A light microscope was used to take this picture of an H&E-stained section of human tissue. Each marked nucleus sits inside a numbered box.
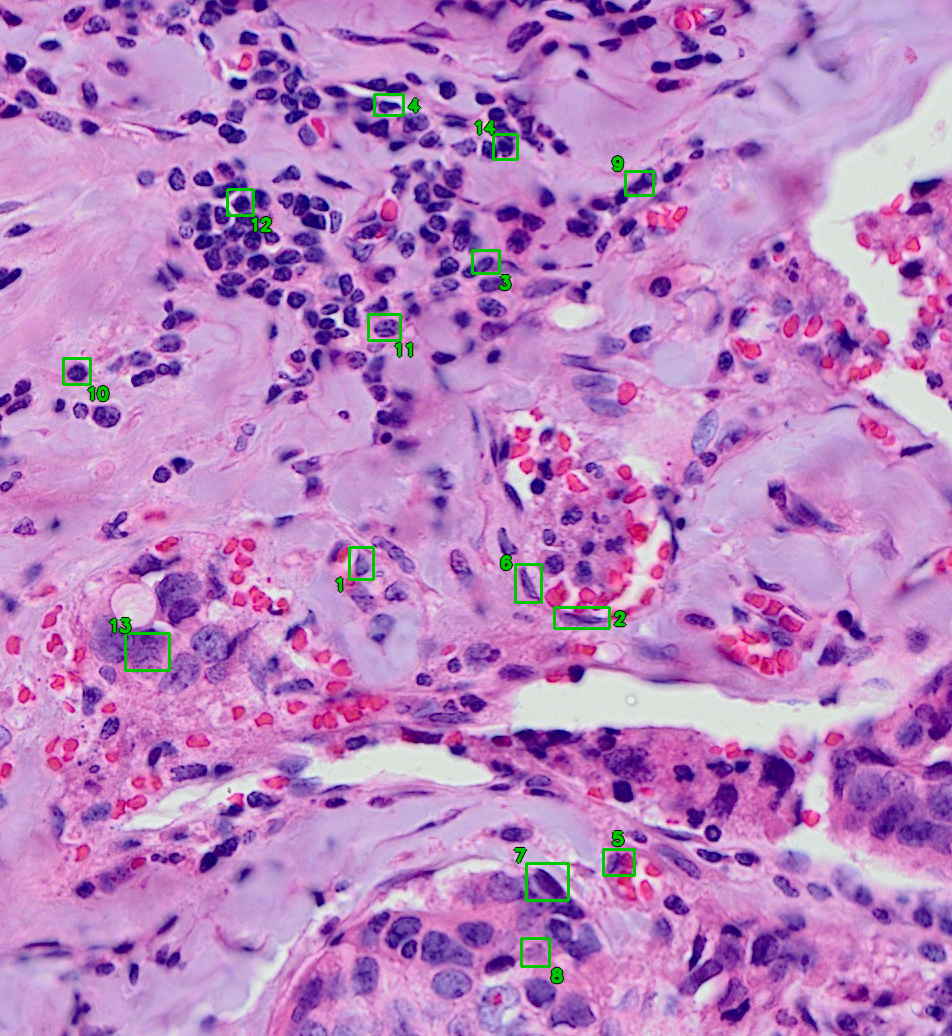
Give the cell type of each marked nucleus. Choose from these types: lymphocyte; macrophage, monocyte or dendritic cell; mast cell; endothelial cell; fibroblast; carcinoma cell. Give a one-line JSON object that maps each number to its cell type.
{"1": "endothelial cell", "2": "endothelial cell", "3": "lymphocyte", "4": "lymphocyte", "5": "endothelial cell", "6": "endothelial cell", "7": "carcinoma cell", "8": "carcinoma cell", "9": "lymphocyte", "10": "mast cell", "11": "mast cell", "12": "lymphocyte", "13": "carcinoma cell", "14": "lymphocyte"}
